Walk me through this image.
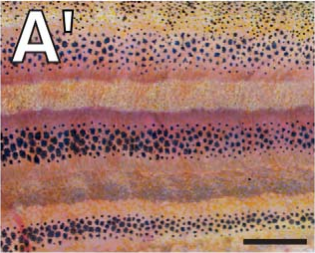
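This is a close view of the skin of a fish, where individual pigment cells can be made out. The black melanophores appear as small dark dots packed densely into straight horizontal stripes. Between the dark stripes run pale yellowish interstripes that carry almost no black cells. The stripes and interstripes alternate regularly and evenly across the field.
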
